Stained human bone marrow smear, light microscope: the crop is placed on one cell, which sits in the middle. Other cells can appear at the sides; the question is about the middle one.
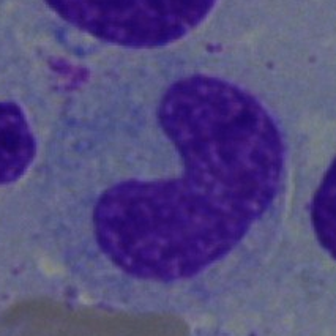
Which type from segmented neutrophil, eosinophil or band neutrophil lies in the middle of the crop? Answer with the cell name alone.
band neutrophil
